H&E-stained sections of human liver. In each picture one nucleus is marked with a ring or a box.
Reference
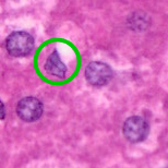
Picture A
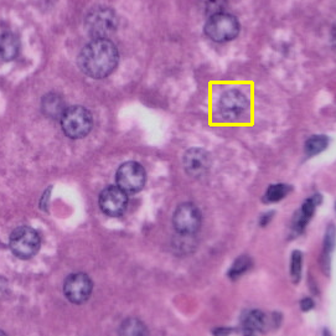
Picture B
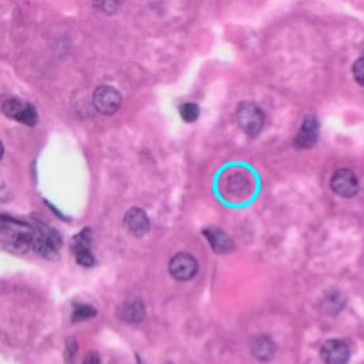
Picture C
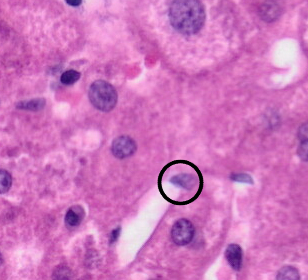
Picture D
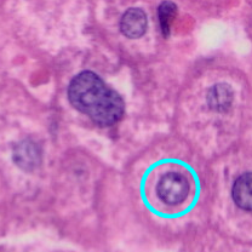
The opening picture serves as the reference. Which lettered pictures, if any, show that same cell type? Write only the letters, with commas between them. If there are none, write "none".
C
